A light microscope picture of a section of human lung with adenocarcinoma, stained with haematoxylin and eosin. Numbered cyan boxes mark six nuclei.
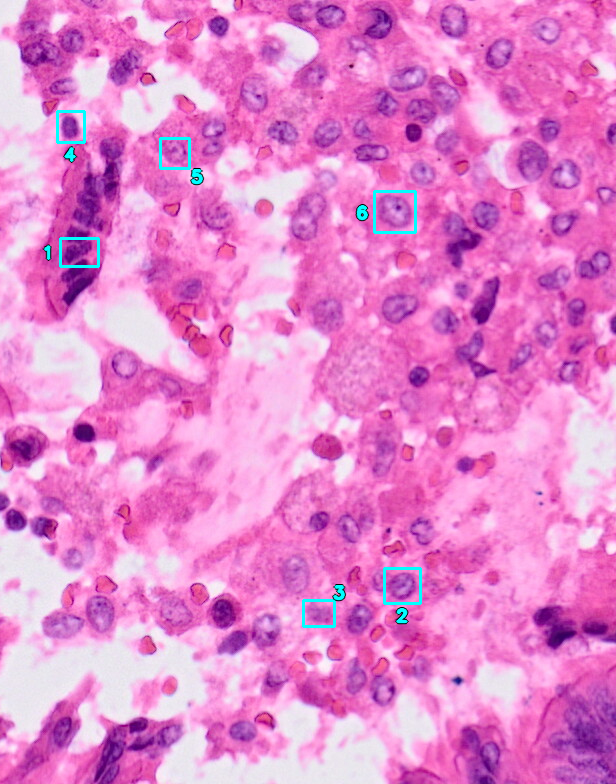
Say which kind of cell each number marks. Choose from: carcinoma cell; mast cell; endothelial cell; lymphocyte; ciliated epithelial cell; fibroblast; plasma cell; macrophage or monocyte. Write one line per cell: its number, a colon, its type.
1: ciliated epithelial cell
2: macrophage or monocyte
3: macrophage or monocyte
4: lymphocyte
5: macrophage or monocyte
6: macrophage or monocyte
